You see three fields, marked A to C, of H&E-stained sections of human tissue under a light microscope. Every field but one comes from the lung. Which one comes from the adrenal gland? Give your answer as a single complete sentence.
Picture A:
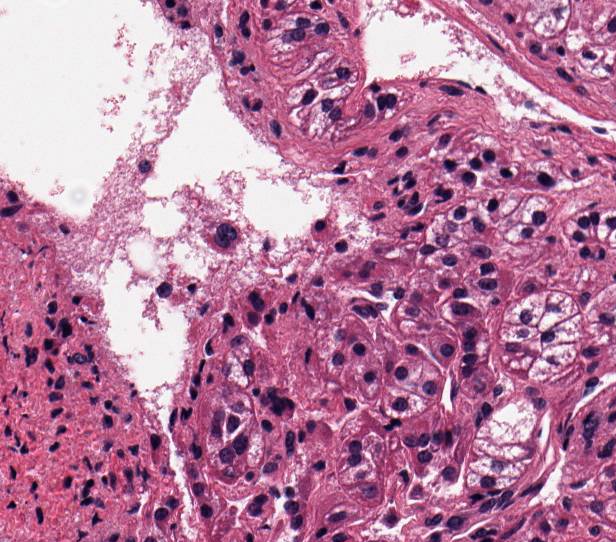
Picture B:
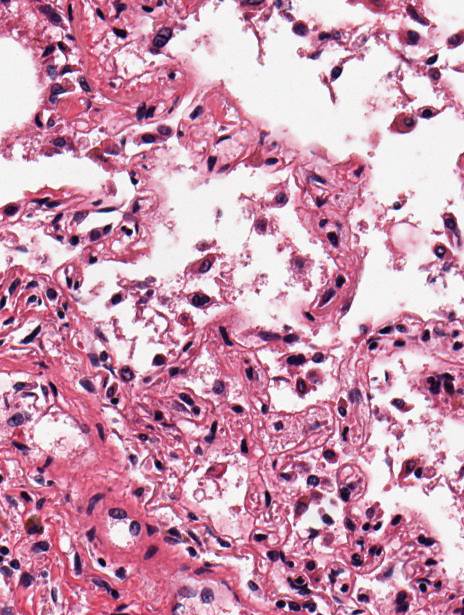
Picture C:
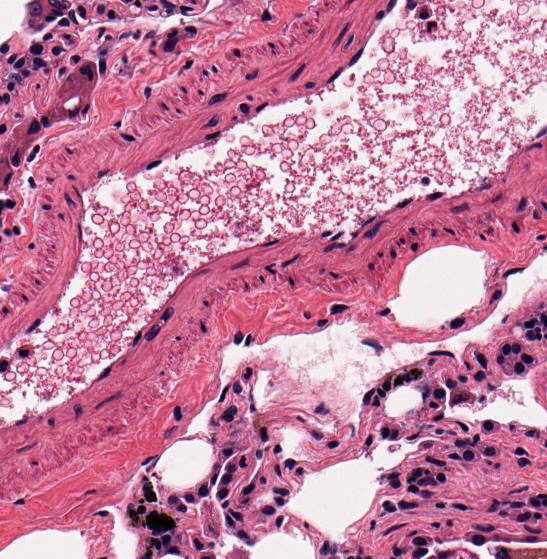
The one that comes from the adrenal gland is picture A.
